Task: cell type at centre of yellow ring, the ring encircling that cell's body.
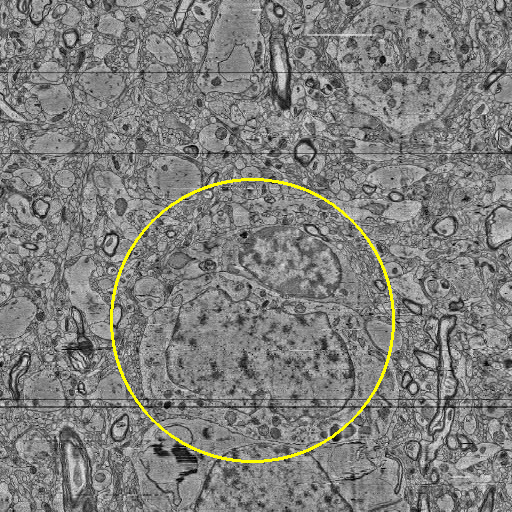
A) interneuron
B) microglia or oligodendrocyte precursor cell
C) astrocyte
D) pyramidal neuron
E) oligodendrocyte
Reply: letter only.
A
